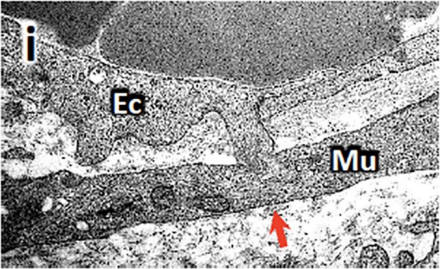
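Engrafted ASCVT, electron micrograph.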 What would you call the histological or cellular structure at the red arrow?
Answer: Peg-socket structure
